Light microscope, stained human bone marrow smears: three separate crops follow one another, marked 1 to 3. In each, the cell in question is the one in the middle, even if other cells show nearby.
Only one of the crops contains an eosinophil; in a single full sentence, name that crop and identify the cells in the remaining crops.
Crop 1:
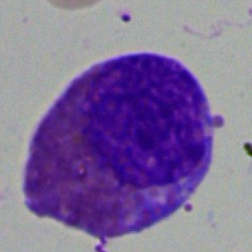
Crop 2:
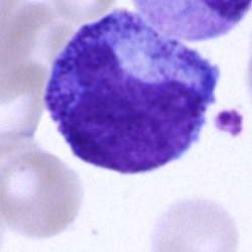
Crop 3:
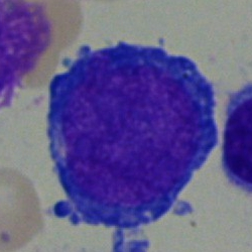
The cell of interest in crop 1 is an eosinophil, while crop 2 is a promyelocyte and crop 3 is a proerythroblast.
